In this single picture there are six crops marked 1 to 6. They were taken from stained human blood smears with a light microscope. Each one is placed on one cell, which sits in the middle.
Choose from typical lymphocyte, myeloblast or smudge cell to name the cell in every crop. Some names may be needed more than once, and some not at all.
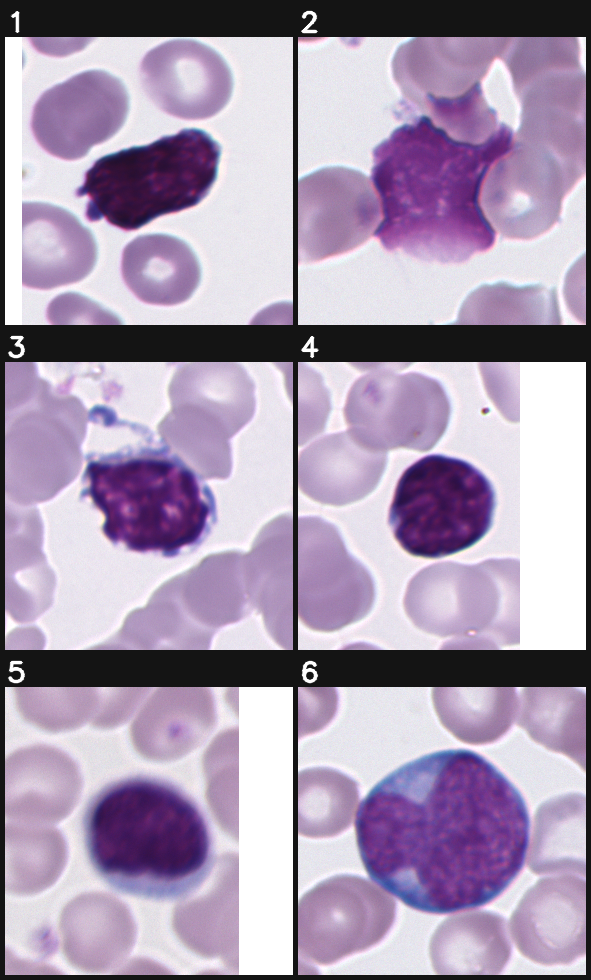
1: myeloblast
2: smudge cell
3: typical lymphocyte
4: typical lymphocyte
5: typical lymphocyte
6: myeloblast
